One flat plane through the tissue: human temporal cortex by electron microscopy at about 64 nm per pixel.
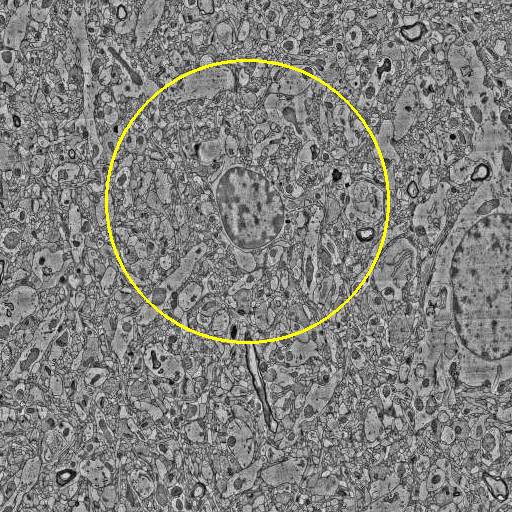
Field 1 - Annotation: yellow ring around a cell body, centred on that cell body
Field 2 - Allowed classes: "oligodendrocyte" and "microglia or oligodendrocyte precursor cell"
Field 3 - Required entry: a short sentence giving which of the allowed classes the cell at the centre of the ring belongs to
The centred cell is a microglial cell or oligodendrocyte precursor cell.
